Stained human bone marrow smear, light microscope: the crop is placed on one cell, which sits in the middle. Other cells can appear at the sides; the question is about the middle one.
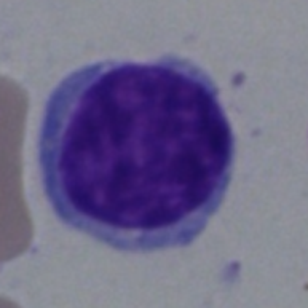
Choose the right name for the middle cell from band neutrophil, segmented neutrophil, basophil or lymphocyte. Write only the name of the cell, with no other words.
lymphocyte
